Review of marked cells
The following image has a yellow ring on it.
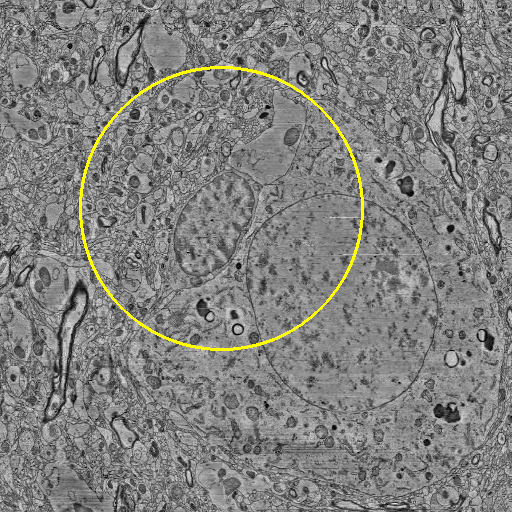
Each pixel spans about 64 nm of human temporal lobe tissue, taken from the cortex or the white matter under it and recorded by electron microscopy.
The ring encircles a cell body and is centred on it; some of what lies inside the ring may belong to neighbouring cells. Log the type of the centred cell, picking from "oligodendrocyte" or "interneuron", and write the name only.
oligodendrocyte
